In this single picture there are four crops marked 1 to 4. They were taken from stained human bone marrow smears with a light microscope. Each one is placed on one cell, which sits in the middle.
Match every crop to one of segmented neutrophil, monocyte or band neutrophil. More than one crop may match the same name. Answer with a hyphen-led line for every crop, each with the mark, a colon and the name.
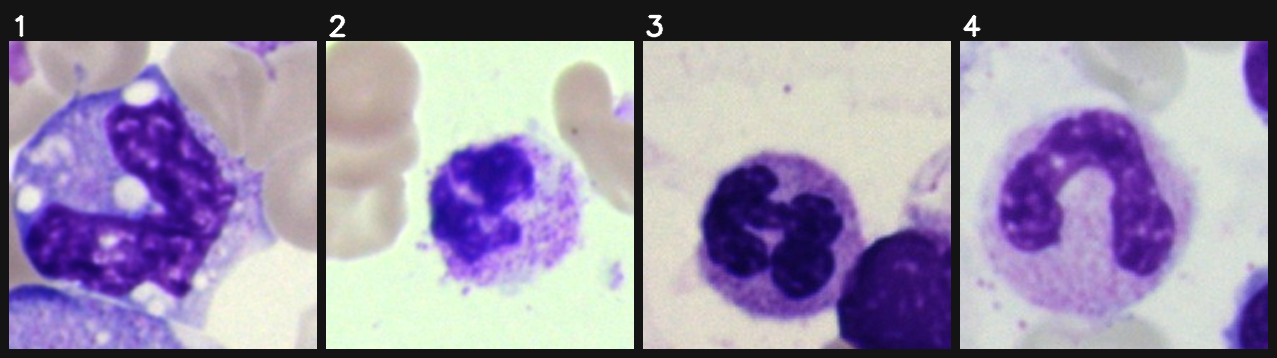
- 1: monocyte
- 2: segmented neutrophil
- 3: segmented neutrophil
- 4: band neutrophil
